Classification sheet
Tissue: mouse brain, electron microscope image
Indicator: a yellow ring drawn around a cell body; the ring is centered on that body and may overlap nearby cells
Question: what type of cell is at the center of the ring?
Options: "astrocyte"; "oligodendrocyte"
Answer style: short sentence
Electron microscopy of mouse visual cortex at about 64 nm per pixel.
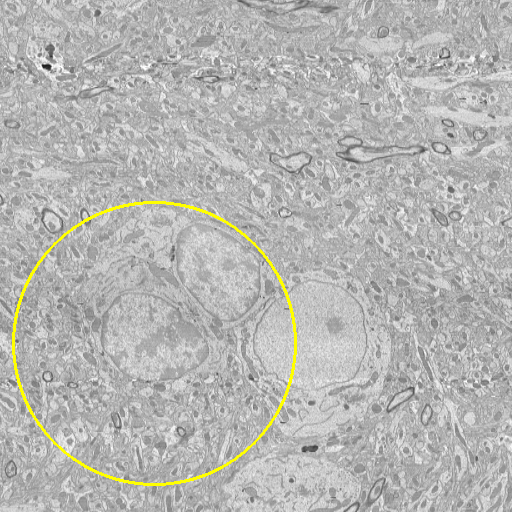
At the ring's center is an oligodendrocyte.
